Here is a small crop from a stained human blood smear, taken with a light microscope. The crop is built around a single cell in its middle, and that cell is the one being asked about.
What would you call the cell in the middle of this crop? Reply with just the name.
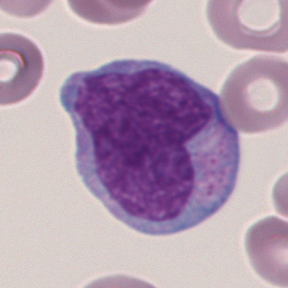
atypical promyelocyte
